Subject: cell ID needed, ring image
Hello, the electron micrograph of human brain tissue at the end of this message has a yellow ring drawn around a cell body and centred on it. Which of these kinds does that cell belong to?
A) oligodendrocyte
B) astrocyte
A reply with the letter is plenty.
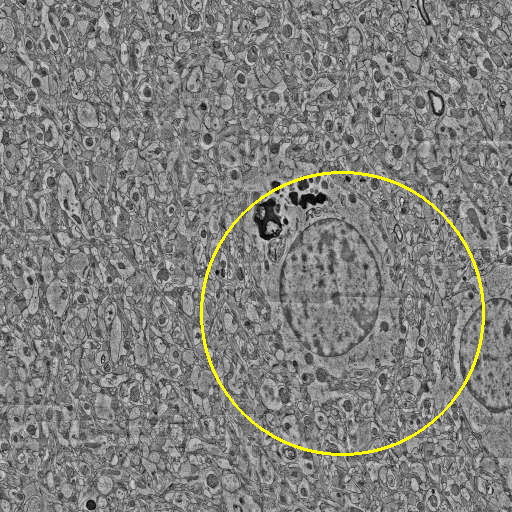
B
